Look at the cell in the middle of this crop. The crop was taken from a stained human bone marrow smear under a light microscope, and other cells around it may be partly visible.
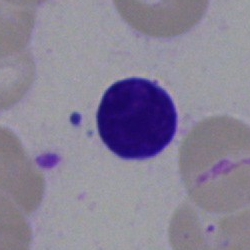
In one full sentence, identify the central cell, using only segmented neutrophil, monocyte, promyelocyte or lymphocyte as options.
The centrally located cell in the crop is a lymphocyte.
